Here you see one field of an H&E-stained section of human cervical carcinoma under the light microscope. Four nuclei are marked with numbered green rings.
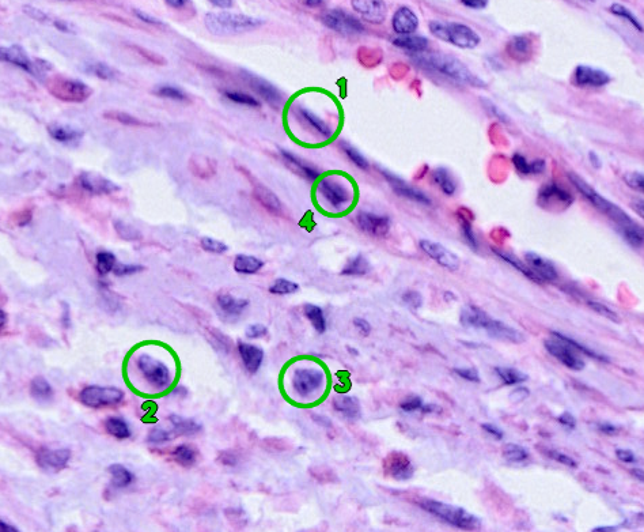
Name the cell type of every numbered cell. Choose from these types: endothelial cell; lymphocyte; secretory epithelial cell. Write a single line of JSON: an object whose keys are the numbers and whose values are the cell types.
{"1": "endothelial cell", "2": "lymphocyte", "3": "lymphocyte", "4": "lymphocyte"}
